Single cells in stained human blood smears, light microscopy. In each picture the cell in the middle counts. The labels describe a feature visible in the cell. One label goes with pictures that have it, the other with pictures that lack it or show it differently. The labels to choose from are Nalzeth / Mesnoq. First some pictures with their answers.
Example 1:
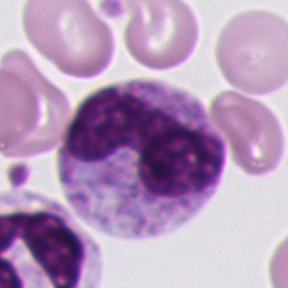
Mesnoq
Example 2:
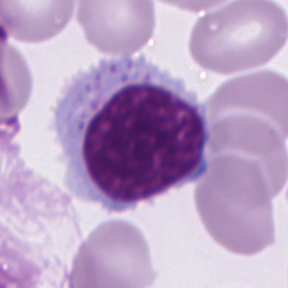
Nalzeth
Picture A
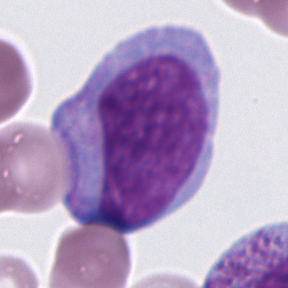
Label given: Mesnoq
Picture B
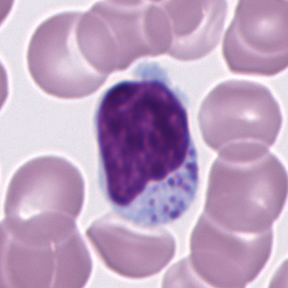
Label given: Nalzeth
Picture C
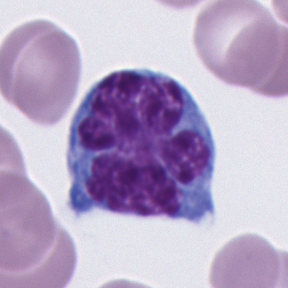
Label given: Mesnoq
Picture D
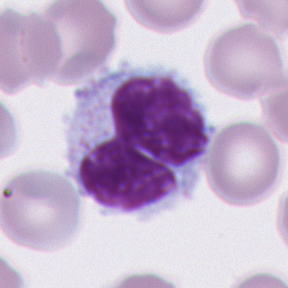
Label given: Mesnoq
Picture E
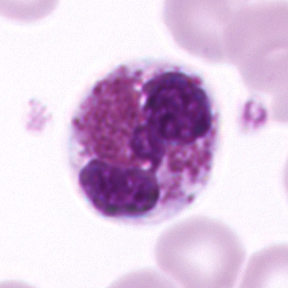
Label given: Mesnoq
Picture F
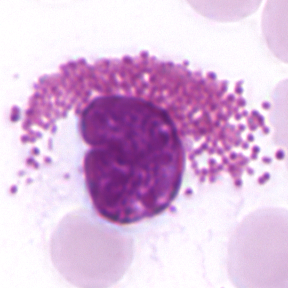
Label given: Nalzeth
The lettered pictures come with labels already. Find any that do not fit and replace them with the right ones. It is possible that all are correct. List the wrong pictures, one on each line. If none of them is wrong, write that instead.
A should be Nalzeth, not Mesnoq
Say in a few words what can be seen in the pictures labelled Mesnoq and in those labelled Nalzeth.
Seen in Mesnoq: lobed nucleus; seen in Nalzeth: single compact nucleus.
